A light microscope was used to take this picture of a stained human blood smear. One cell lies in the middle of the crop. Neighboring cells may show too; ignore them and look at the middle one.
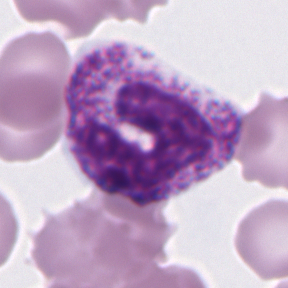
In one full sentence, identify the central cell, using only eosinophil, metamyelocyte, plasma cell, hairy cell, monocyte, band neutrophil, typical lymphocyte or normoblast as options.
The crop centres on a single cell, and that cell is a band neutrophil.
